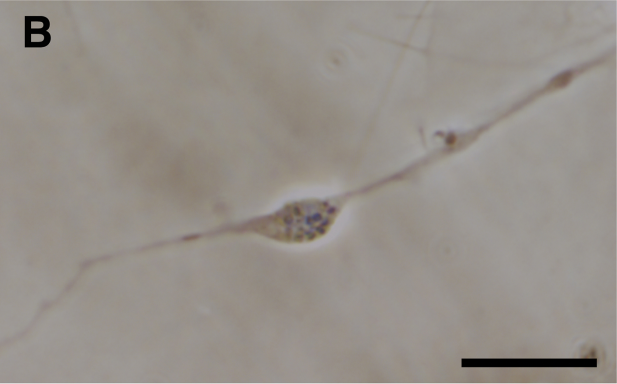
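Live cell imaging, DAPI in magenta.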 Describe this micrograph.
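The central cell body is small and spindle-shaped, with no magenta staining. Its cytoplasm is filled with dark granules. Two long thin spindle projections run from opposite ends of the cell body across the field in a nearly straight line, many times the length of the body.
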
